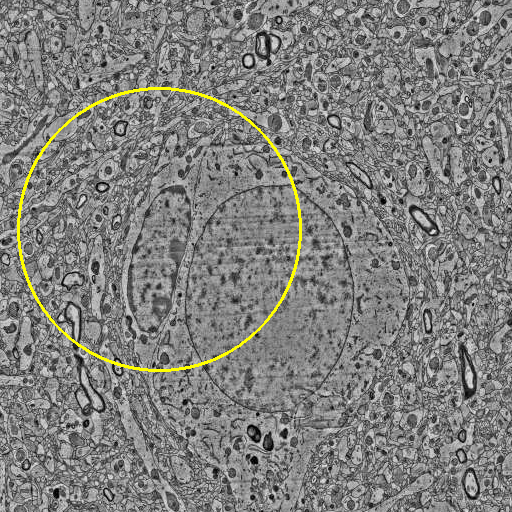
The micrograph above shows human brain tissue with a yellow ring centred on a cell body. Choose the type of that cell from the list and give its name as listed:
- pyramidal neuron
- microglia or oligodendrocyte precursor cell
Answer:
microglia or oligodendrocyte precursor cell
